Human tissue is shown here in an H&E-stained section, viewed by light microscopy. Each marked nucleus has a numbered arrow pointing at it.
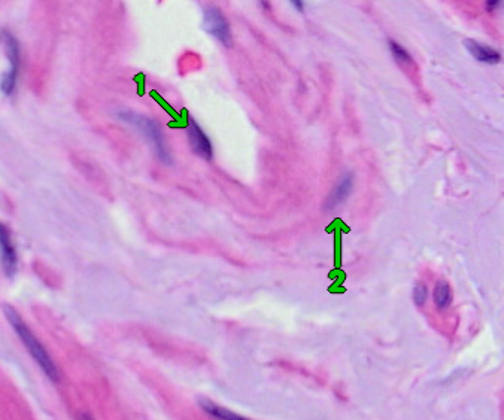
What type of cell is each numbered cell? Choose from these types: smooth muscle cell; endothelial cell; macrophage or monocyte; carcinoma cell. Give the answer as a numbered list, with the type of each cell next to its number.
1. endothelial cell
2. smooth muscle cell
